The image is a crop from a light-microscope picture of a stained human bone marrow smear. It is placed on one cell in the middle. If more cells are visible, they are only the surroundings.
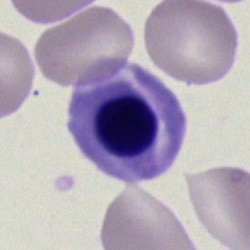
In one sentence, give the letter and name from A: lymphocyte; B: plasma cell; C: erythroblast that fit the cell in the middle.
Correctly, option C names the cell in the middle an erythroblast.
